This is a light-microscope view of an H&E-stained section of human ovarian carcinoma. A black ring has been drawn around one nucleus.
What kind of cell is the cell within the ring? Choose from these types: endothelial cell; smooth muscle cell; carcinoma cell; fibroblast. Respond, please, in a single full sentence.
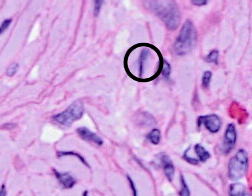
The category to which the cell within the ring belongs is that of a fibroblast.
